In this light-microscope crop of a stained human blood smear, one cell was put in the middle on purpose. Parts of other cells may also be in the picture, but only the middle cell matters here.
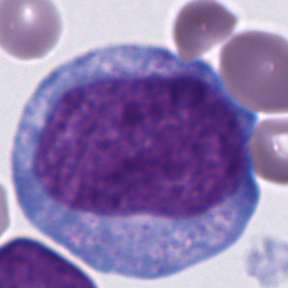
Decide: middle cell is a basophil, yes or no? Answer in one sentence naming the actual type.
No, the cell in the middle should be called a promyelocyte instead of a basophil.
